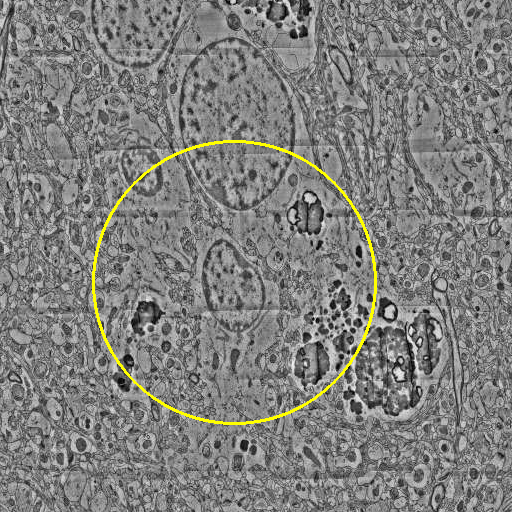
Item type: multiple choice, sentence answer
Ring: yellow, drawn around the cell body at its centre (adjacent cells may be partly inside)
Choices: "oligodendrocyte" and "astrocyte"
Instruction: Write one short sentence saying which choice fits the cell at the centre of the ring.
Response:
This ring is drawn around an astrocyte.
